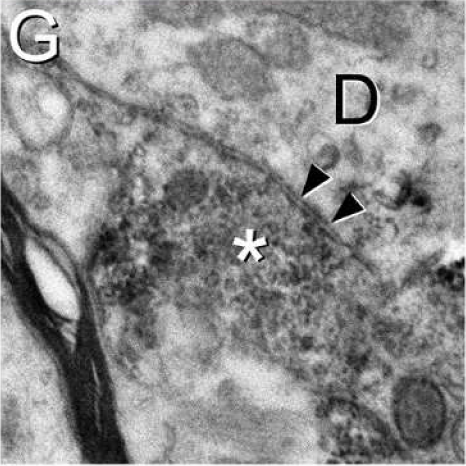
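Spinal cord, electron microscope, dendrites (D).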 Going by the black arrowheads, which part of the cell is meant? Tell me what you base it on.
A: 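The arrowheads point to a slightly darkened membrane stretch between two apposed profiles. The profile below the membrane is filled with granular dark material. On this evidence: synaptic active zones.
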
